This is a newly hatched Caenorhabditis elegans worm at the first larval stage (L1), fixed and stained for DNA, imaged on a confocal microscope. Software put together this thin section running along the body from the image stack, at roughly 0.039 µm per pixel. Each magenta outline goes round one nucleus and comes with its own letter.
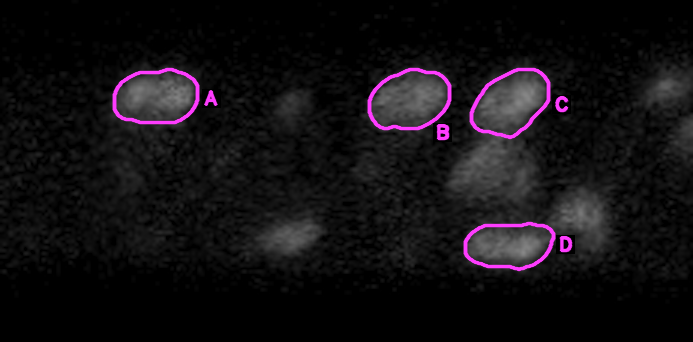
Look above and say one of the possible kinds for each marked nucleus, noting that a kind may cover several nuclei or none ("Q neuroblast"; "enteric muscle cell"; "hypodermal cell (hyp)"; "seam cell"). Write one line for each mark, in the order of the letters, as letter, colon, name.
A: seam cell
B: seam cell
C: Q neuroblast
D: hypodermal cell (hyp)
